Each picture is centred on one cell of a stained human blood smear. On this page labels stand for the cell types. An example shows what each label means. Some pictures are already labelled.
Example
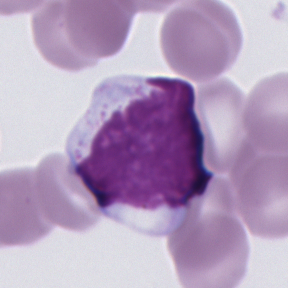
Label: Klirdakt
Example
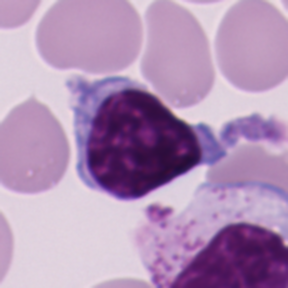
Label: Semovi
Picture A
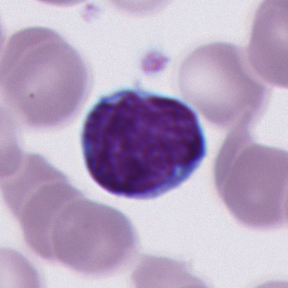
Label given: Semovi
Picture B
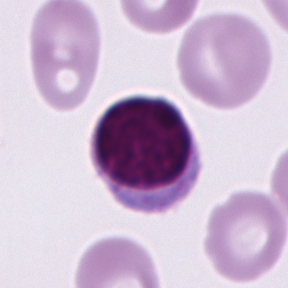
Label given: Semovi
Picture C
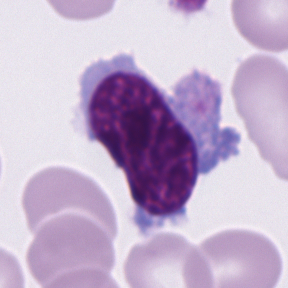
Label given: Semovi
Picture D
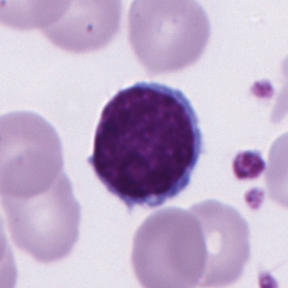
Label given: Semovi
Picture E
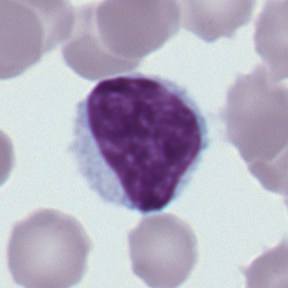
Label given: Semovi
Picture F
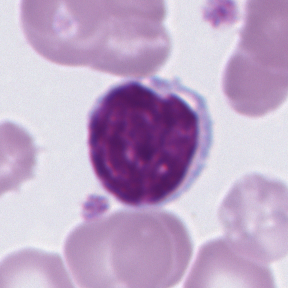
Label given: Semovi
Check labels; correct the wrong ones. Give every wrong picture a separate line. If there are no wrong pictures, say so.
All labels are correct.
